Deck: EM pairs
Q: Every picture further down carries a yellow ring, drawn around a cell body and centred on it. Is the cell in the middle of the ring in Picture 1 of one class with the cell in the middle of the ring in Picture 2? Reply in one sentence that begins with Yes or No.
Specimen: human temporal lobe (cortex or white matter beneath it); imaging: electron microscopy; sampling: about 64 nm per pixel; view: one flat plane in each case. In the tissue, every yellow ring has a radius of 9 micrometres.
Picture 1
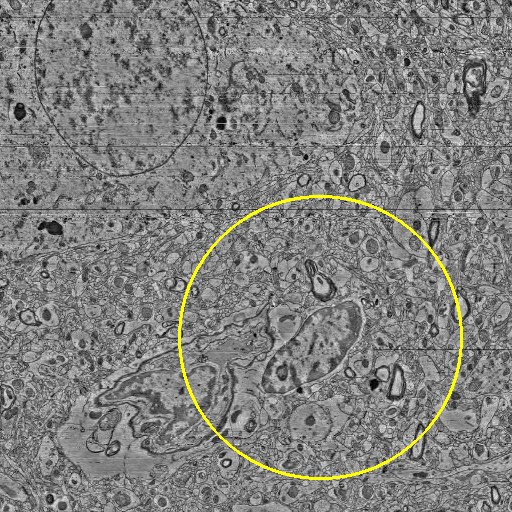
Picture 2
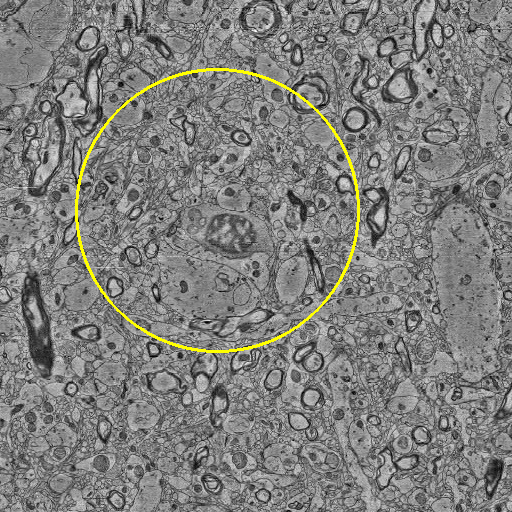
No, the cell centred in the ring of Picture 1 and the one in Picture 2 belong to separate classes.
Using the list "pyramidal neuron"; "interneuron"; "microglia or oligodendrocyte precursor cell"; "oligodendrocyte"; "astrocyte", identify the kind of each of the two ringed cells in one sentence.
The first is a microglial cell or oligodendrocyte precursor cell and the second is an oligodendrocyte.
